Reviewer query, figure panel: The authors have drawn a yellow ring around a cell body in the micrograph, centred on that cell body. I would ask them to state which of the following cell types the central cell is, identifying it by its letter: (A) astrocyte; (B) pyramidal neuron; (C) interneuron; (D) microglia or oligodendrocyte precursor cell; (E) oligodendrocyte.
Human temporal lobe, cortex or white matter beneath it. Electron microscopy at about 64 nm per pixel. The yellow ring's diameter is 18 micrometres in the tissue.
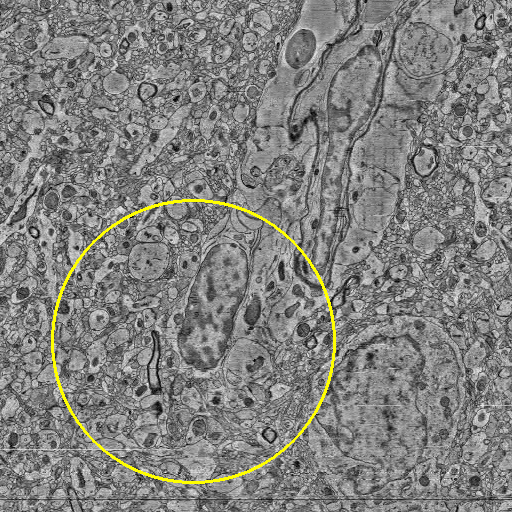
D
